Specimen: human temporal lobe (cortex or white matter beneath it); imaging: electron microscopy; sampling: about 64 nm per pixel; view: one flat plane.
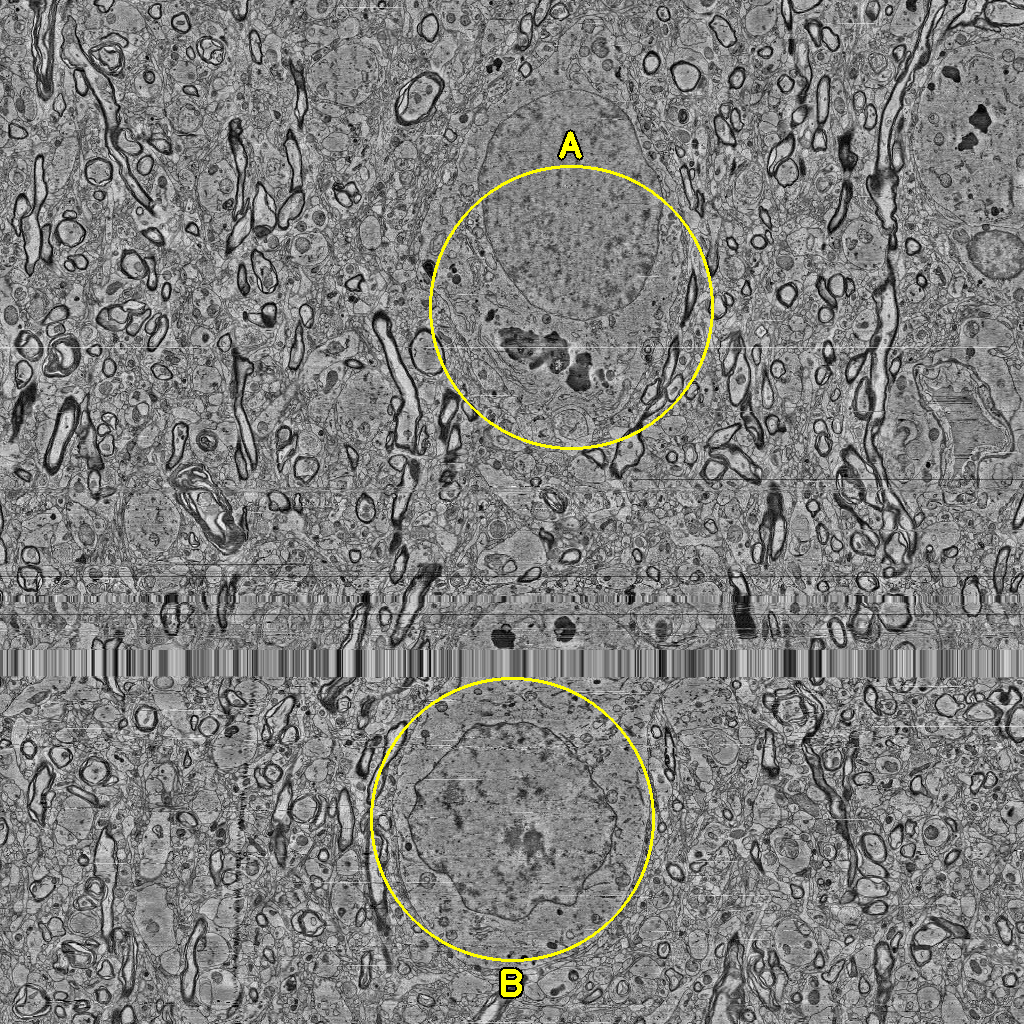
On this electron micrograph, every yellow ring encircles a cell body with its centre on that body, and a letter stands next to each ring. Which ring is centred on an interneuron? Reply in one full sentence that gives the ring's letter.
Ring A is the ring that has the cell asked for in its centre.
